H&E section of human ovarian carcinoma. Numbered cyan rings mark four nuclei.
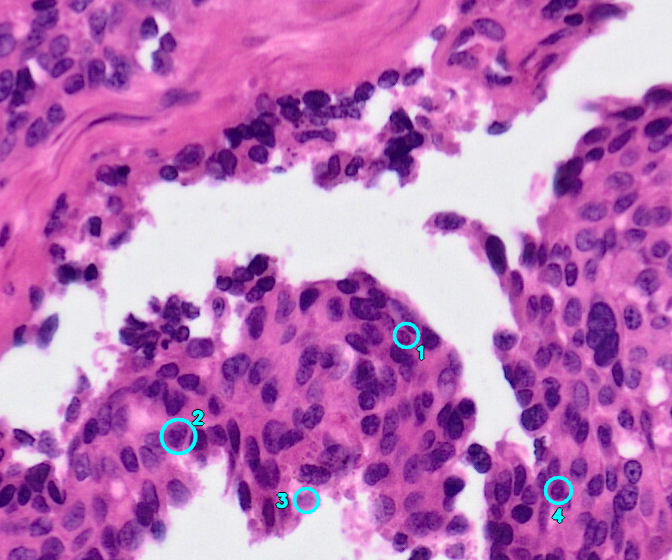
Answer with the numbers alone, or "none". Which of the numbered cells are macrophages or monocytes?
3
